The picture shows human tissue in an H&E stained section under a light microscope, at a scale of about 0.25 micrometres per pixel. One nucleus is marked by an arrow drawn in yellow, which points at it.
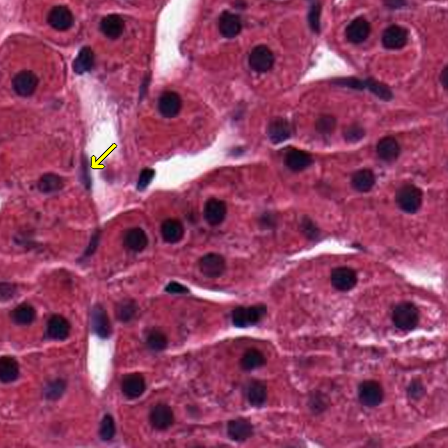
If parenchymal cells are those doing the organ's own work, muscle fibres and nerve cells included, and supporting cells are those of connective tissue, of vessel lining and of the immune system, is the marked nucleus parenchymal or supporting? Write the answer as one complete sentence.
The cell bearing the marked nucleus is a supporting cell.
